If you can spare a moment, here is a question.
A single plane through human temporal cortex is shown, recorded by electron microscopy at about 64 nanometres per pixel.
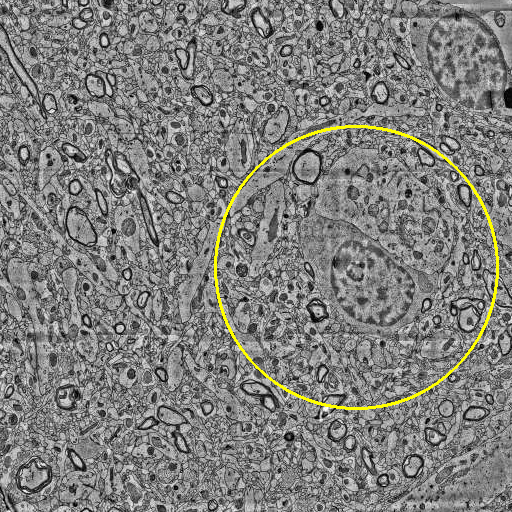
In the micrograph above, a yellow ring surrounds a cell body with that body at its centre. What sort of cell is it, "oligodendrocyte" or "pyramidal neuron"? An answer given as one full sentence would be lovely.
Centred inside the yellow ring, the cell body shown belongs to an oligodendrocyte in this micrograph.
